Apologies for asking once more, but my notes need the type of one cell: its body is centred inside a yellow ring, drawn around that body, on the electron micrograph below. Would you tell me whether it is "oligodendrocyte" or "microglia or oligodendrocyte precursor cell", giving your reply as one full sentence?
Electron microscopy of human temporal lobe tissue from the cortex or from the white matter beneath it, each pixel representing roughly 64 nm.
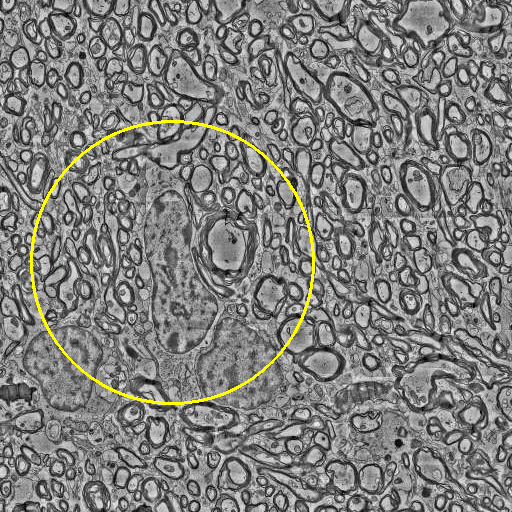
The cell that the yellow ring is centred on is a microglial cell or oligodendrocyte precursor cell in this micrograph.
